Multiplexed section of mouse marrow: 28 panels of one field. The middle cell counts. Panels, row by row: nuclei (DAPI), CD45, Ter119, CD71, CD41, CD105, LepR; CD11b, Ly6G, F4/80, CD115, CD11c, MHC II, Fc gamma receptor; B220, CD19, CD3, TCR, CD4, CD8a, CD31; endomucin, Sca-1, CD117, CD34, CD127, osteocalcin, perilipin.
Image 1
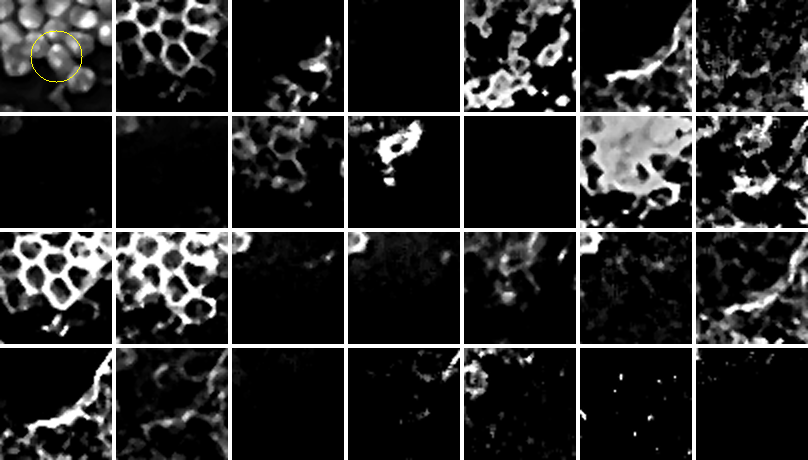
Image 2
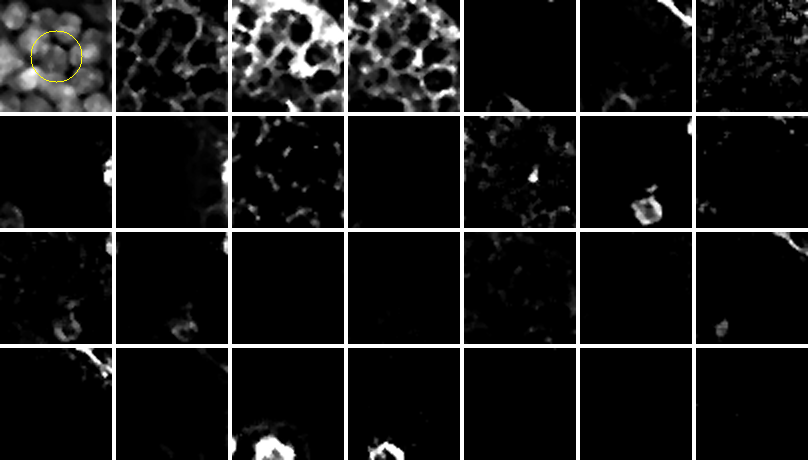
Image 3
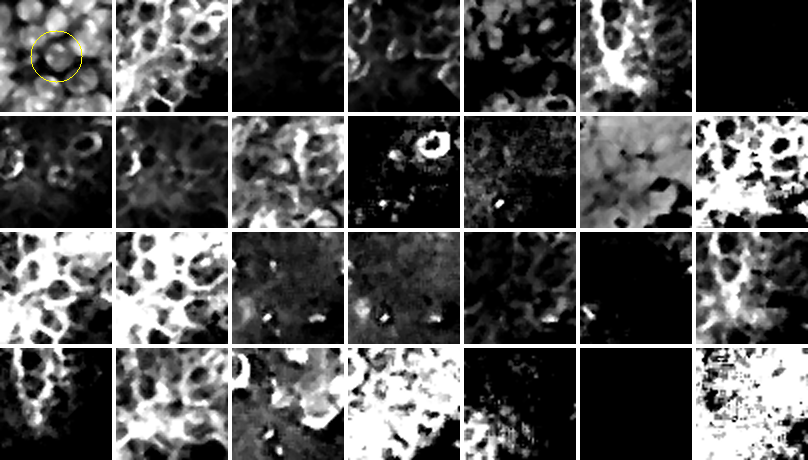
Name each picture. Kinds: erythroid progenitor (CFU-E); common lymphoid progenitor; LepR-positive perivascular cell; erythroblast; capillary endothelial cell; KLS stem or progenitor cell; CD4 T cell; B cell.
(1) capillary endothelial cell
(2) erythroblast
(3) erythroid progenitor (CFU-E)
